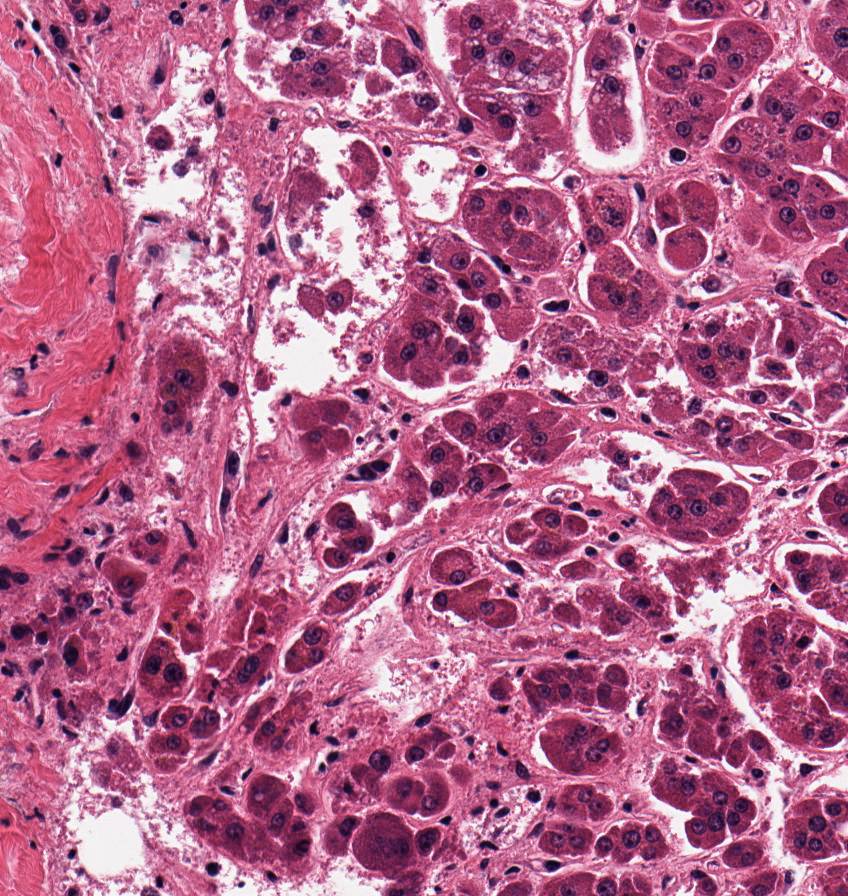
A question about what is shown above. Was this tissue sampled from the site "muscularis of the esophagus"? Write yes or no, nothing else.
no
